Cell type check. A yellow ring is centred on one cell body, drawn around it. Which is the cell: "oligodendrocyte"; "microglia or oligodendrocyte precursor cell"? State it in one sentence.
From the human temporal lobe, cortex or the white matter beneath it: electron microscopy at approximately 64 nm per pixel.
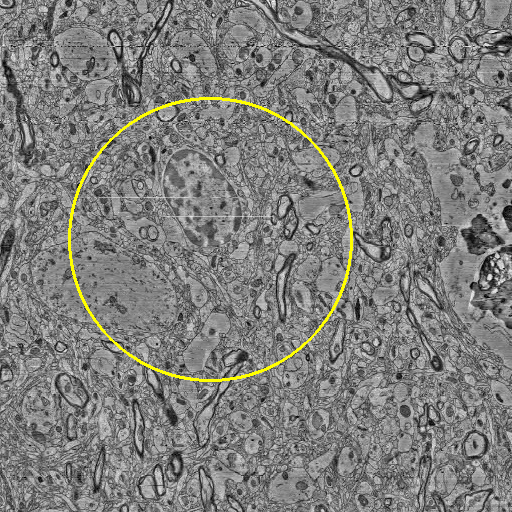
The cell body at the ring's centre belongs to a microglial cell or oligodendrocyte precursor cell.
